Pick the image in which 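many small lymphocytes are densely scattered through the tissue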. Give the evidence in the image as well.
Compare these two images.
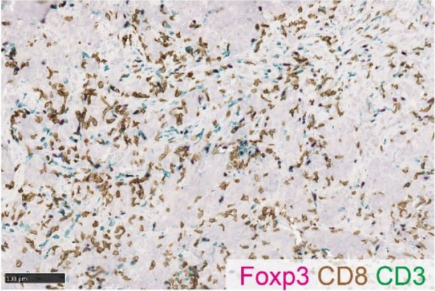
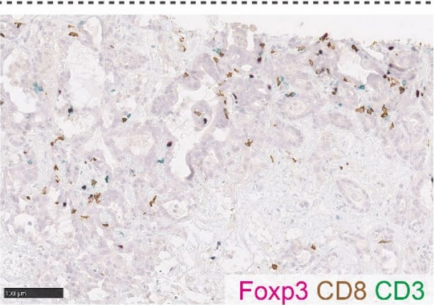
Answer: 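First image: dense brown- and green-stained small cells throughout the field. That points to this answer: the first image.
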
